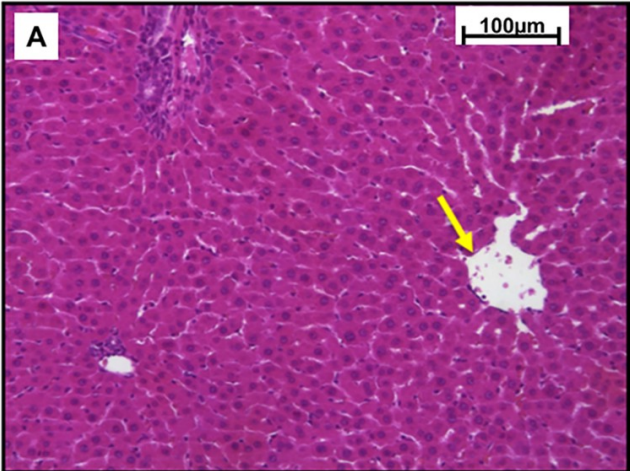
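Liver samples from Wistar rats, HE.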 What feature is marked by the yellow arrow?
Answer: Centrilobular vein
